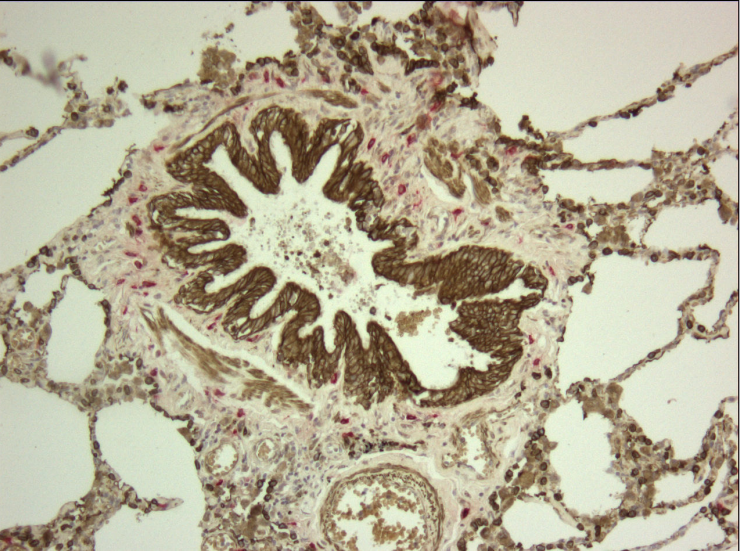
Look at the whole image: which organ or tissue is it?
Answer: Small airway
